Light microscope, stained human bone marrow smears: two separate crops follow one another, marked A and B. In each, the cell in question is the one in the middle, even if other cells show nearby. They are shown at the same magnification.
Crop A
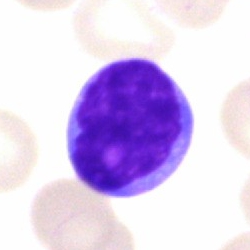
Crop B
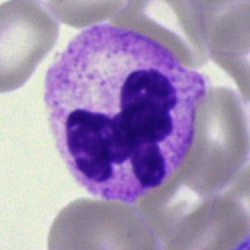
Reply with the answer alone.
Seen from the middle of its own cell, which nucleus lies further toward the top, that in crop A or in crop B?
A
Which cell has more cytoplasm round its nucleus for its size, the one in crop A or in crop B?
B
